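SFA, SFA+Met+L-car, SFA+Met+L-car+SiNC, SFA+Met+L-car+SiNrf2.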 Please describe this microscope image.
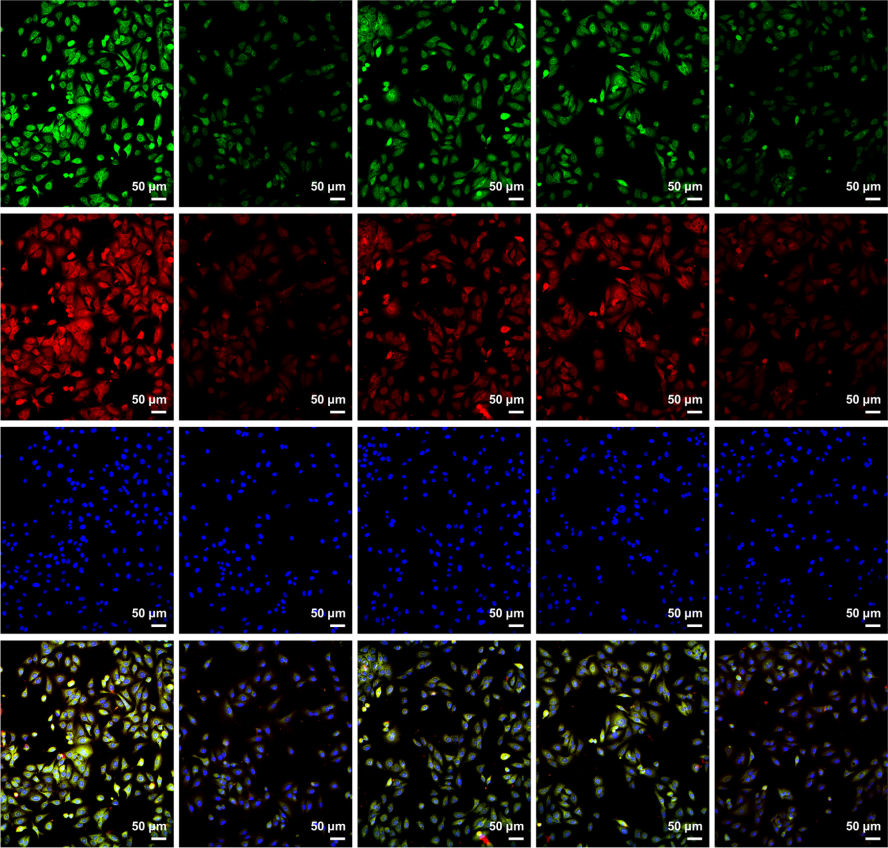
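The cells lie as a scattered monolayer of flattened, polygonal to rounded cells, each with a single oval blue nucleus. The green and red labels fill the cytoplasm around the nuclei and overlap as yellow in the merged images. The intensity of both cytoplasmic labels differs clearly between columns, bright in the first and in the third and fourth, and faint in the second and fifth, while the blue nuclei look much alike throughout.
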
